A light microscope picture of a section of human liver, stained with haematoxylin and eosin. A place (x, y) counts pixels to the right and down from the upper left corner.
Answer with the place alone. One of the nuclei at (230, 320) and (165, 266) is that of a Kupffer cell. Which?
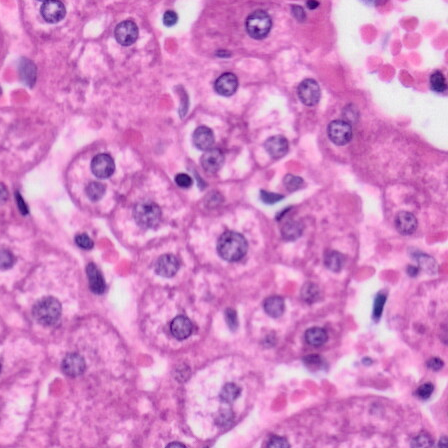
(230, 320)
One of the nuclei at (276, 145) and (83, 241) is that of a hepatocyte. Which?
(276, 145)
